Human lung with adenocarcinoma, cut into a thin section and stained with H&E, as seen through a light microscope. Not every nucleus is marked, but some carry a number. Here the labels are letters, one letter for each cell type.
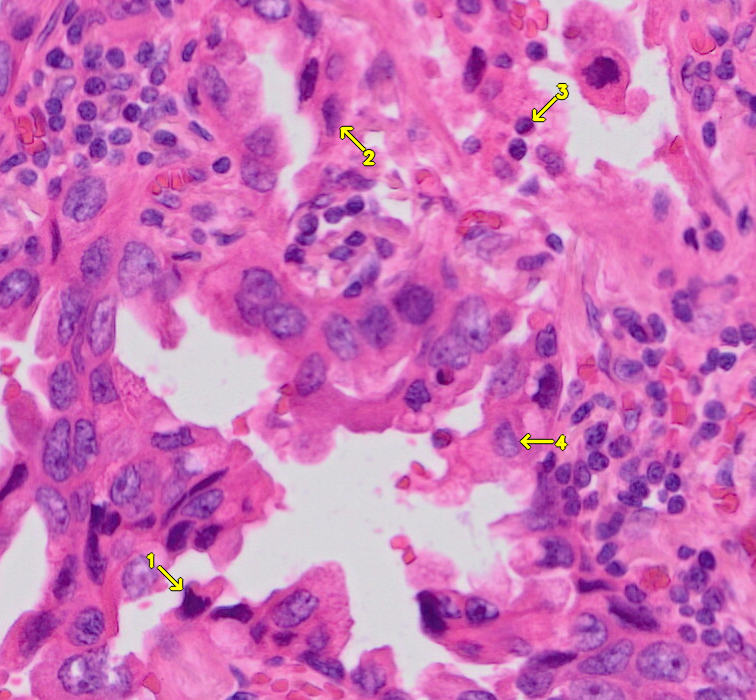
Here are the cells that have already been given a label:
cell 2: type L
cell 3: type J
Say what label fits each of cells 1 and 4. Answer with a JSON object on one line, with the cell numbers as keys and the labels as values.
{"1": "type L", "4": "type L"}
